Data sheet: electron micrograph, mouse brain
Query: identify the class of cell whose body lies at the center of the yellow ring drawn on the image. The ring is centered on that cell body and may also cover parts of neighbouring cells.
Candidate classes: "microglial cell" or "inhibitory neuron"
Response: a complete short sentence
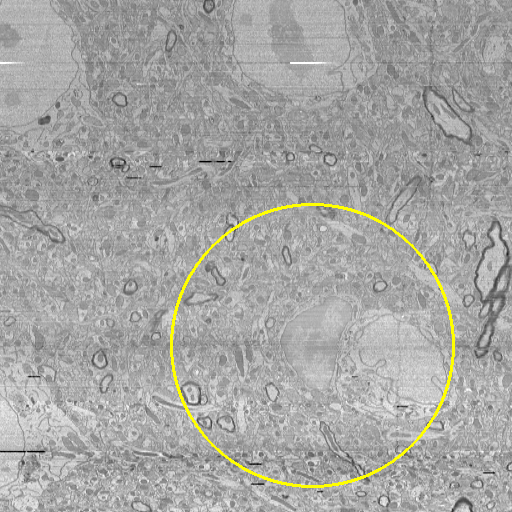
At the center of the ring lies a microglial cell.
